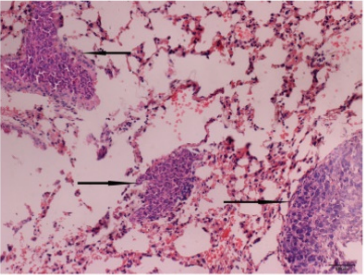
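Lung tissue shows thin pink alveolar walls lining open air spaces, with scattered red blood cells. Set among them are several large, solid masses of tightly packed cells with crowded purple nuclei, one at the upper left, one in the middle and one at the right edge.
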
